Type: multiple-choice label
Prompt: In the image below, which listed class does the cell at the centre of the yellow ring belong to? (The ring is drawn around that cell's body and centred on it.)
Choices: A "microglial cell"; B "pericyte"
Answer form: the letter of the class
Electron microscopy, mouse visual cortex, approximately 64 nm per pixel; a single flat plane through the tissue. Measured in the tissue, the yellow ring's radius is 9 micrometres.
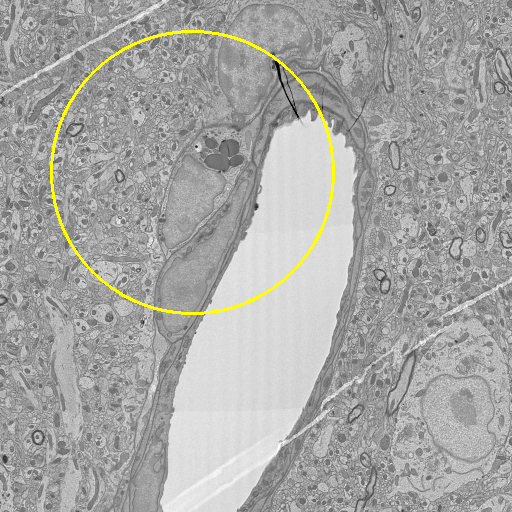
A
